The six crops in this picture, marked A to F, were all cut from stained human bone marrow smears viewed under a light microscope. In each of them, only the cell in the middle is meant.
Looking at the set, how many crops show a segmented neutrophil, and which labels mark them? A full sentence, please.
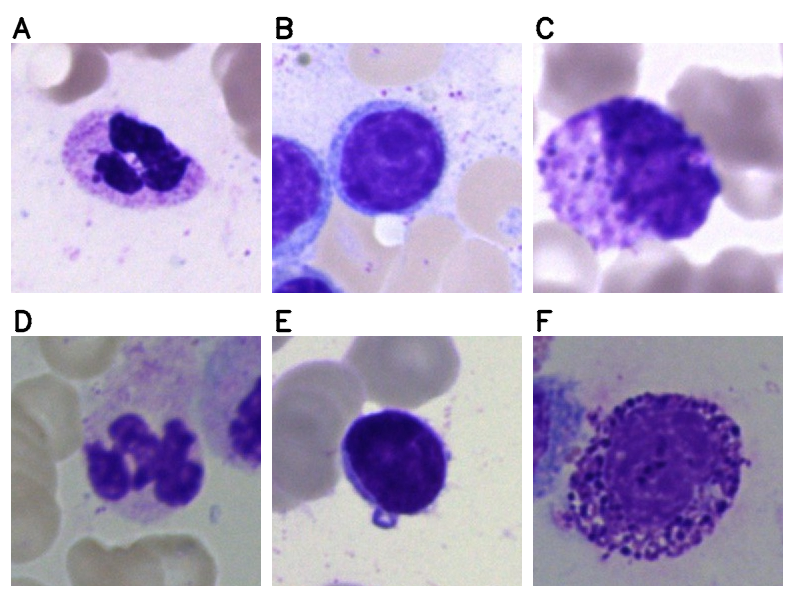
The crops labelled A and D show segmented neutrophils, two crops in total.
